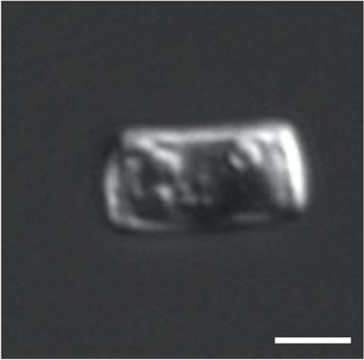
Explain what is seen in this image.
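This is a single cell seen in interference contrast, lying on its side so that its outline is a neat rectangle with slightly rounded corners. The cell wall stands out as a bright, relief-like rim around the whole box shape. The cell is isolated against a smooth, even grey background.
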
